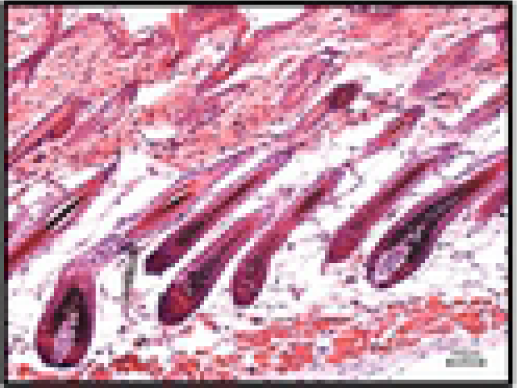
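This section of skin shows several hair follicles running obliquely through a pink-red stained dermis. The surrounding connective tissue is loose and stains red without such pigment.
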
